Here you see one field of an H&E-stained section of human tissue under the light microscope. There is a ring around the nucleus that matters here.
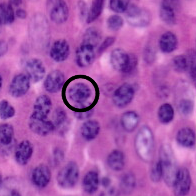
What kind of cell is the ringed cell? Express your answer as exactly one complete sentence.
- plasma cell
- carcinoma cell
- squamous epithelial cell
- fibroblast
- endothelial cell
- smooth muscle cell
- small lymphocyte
In the stained section, the ringed cell is a plasma cell.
